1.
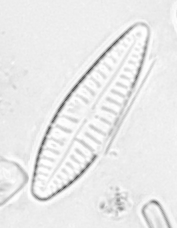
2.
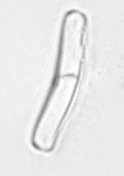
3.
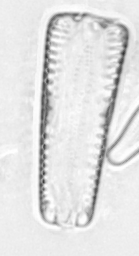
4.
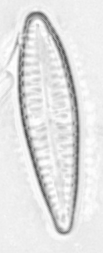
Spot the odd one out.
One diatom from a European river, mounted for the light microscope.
Picture 2 (Achnanthidium among Gomphonema).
